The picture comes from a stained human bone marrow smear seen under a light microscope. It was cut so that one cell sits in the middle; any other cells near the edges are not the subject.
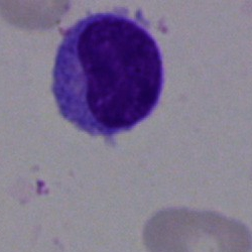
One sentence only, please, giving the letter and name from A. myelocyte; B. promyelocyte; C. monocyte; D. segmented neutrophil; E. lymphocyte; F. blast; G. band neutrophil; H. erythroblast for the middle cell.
Option E is correct in that the central cell is a lymphocyte.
